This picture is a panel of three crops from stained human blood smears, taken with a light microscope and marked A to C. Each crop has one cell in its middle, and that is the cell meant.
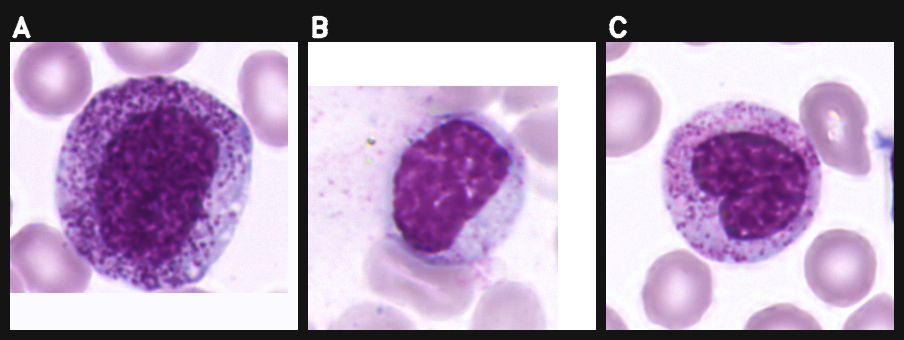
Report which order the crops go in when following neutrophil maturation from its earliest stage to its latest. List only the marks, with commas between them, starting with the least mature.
A, B, C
